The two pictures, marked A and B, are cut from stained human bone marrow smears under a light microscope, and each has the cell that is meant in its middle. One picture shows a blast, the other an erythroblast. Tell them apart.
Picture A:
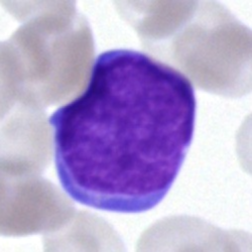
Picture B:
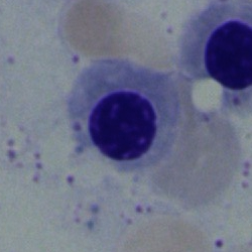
A: blast
B: erythroblast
